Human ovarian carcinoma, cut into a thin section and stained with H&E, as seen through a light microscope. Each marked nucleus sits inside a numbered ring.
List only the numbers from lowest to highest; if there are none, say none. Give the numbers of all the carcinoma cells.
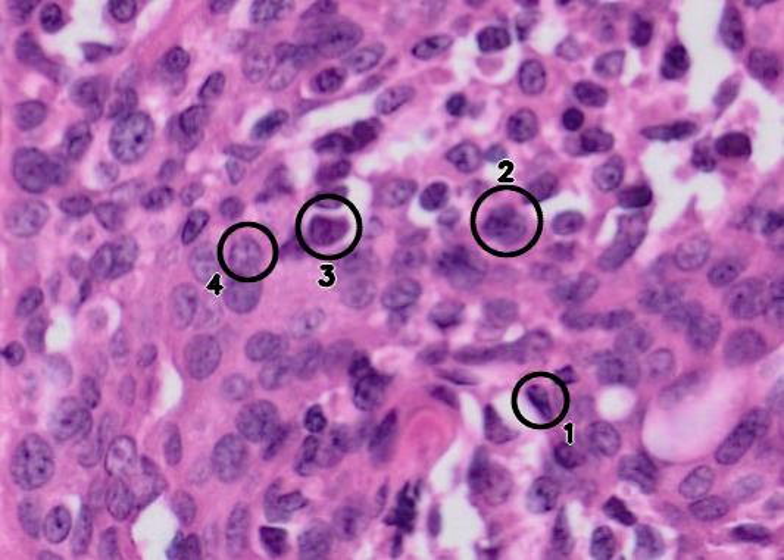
2, 3, 4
